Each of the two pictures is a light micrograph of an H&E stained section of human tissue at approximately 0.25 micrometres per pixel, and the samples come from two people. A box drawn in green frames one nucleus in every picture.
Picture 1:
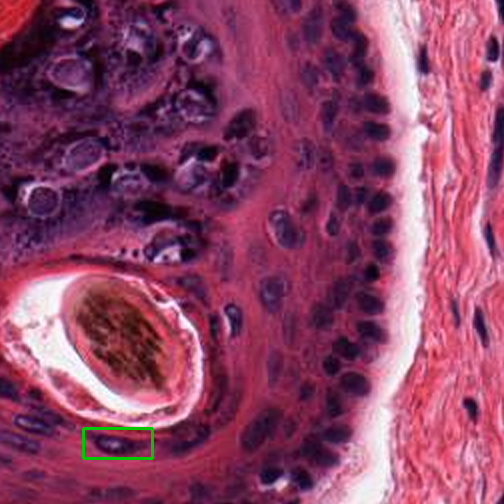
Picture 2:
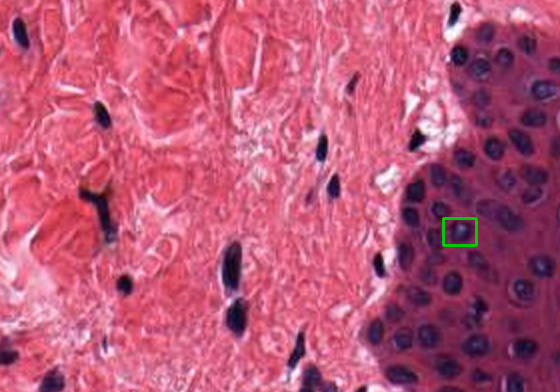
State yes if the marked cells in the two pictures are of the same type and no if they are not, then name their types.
Yes, both are keratinocytes.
